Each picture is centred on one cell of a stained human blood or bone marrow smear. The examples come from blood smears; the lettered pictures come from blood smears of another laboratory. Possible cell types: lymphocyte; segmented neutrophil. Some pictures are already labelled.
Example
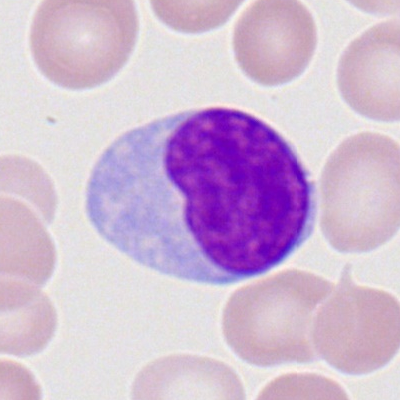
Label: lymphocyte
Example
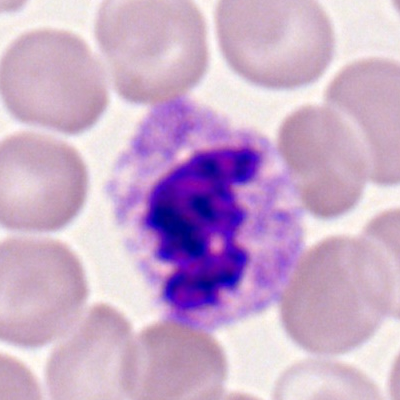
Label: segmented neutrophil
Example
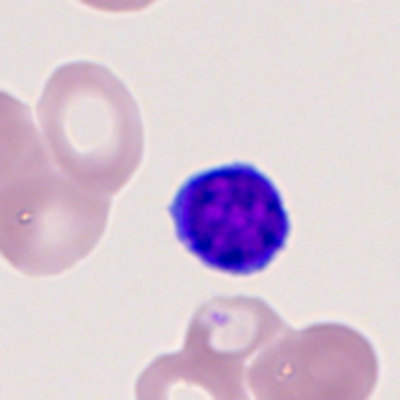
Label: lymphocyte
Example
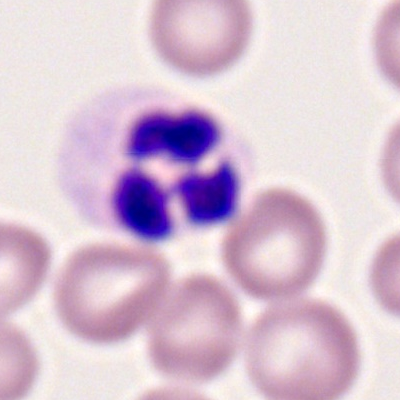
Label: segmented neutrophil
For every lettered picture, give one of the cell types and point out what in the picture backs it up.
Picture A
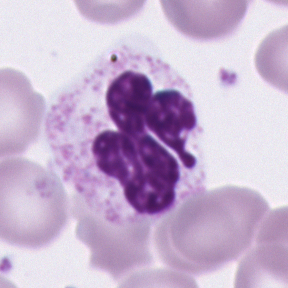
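segmented neutrophil. The cytoplasm is abundant and very pale.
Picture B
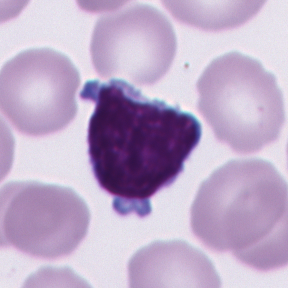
lymphocyte. The cytoplasm is a scant pale blue rim, seen mainly along the upper edge.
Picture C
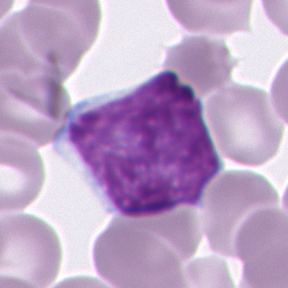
lymphocyte. The cytoplasm is only a very thin rim, seen mostly along the left edge.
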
